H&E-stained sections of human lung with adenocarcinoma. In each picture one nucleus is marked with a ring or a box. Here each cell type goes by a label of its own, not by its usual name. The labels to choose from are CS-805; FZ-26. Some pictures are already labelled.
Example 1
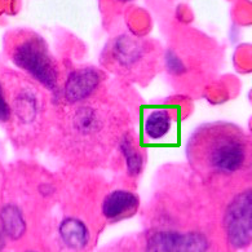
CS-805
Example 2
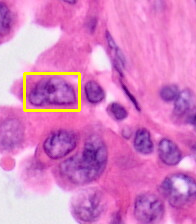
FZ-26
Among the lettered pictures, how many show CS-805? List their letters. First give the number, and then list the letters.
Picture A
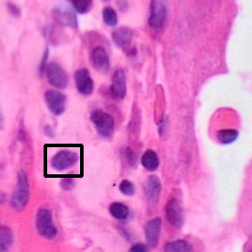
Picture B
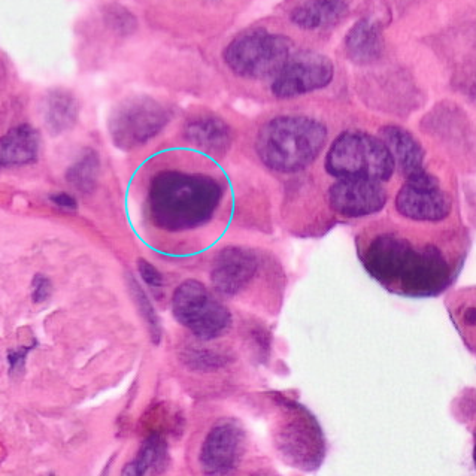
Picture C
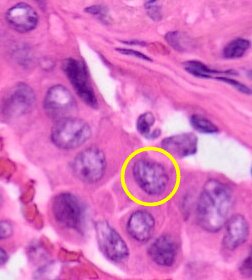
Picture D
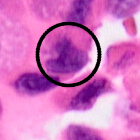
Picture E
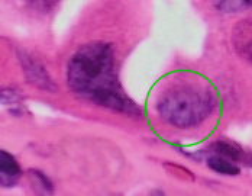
1: A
